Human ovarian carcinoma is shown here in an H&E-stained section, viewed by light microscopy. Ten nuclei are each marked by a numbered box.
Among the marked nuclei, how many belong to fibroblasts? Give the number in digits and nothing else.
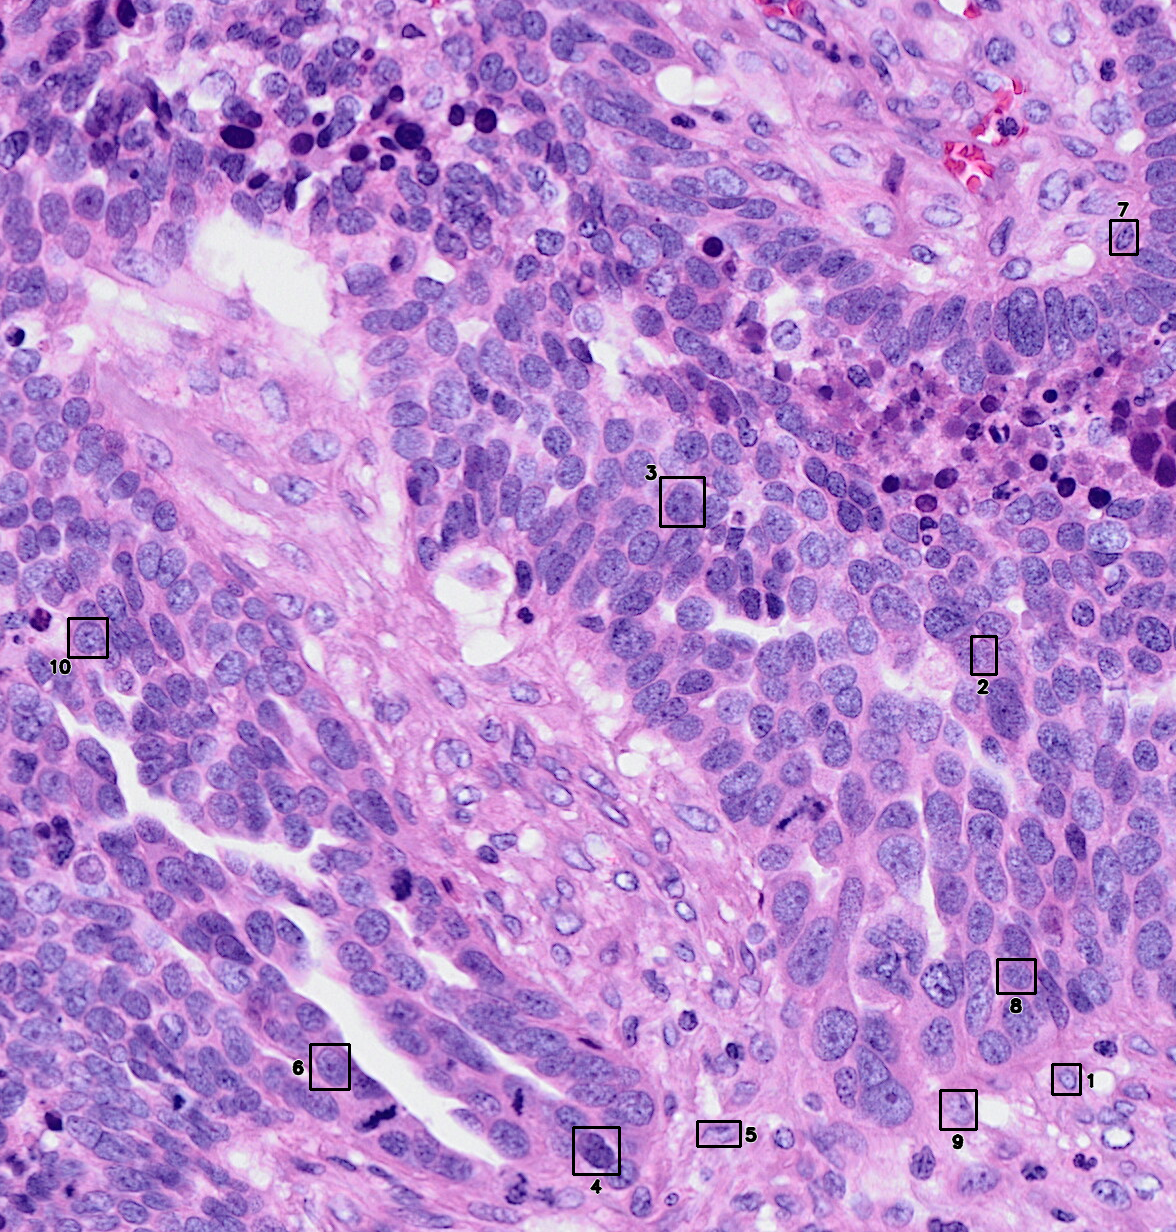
3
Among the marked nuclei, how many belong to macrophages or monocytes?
1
